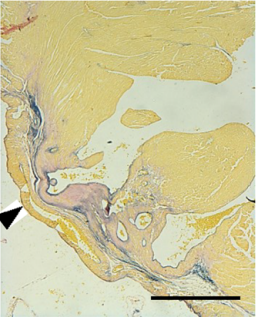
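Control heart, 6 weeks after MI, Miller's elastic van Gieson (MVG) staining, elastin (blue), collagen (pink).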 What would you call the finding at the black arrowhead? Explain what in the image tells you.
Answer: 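Ventricular thinning. The arrowhead points at a narrow band of the ventricular wall. The wall at that spot is much thinner than the yellow myocardium elsewhere. The thin region is stained pink and blue rather than yellow.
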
